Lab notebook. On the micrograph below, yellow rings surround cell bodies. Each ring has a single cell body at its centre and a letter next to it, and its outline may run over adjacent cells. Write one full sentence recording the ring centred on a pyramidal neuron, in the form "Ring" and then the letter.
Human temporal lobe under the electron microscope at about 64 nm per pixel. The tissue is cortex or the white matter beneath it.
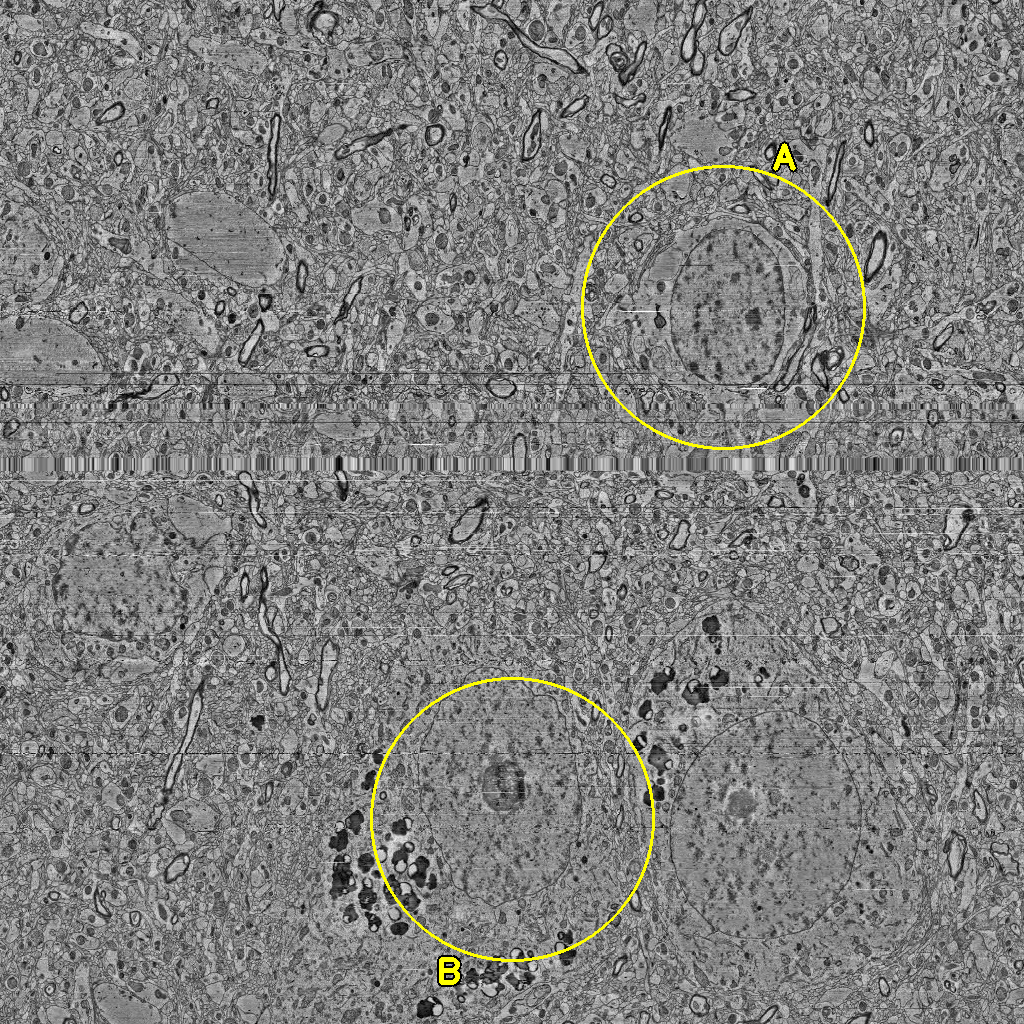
My answer is Ring B, the ring centred on a cell of that kind.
